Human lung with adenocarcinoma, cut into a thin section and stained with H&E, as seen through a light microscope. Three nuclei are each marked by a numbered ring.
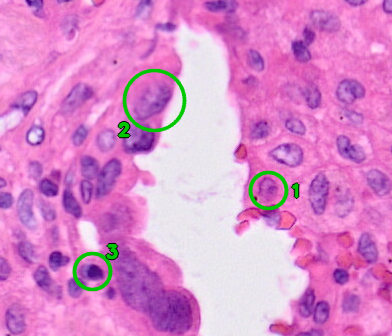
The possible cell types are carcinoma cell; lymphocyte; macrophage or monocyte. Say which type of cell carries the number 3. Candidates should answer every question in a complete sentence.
Cell 3, among those numbered, is a lymphocyte.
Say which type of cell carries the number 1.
Cell 1 of the marked set is a macrophage or monocyte.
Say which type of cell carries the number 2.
The numbered cell 2 in this field is a carcinoma cell.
